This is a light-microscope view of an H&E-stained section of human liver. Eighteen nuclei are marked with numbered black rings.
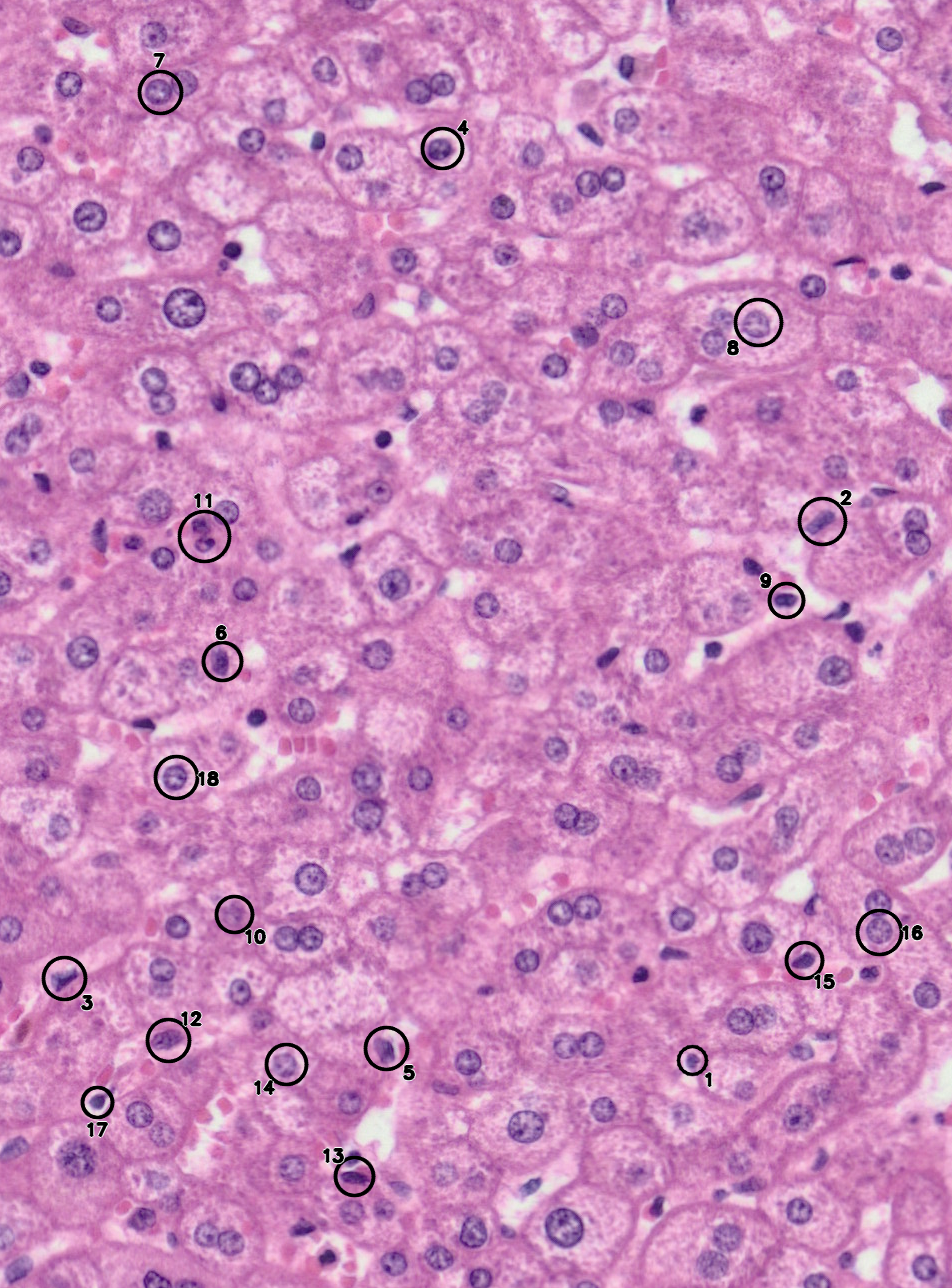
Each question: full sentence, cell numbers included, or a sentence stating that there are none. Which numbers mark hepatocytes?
Cells 4, 7, 8, 10, 14, 16 and 18 are of one type, namely hepatocytes.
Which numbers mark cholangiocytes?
There are no cholangiocytes among the cells marked with numbers.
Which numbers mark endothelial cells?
Here, the cells that carry numbers 3 and 5 are endothelial cells.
